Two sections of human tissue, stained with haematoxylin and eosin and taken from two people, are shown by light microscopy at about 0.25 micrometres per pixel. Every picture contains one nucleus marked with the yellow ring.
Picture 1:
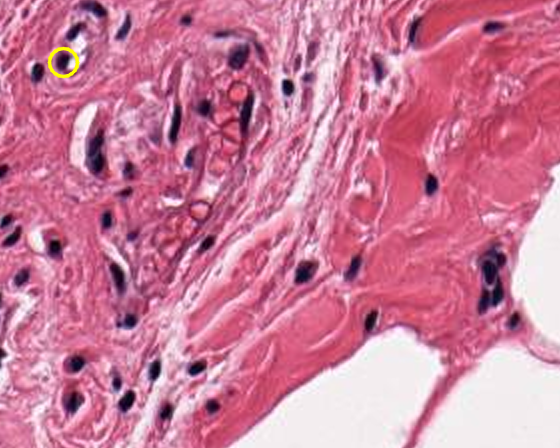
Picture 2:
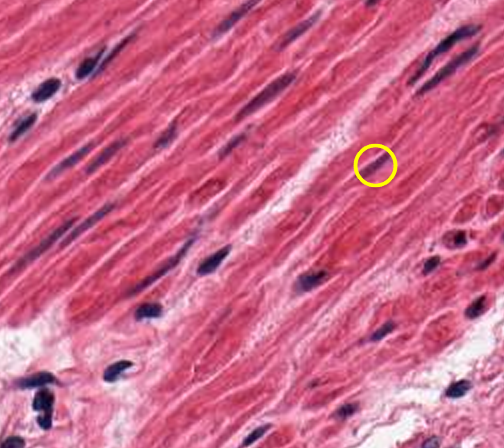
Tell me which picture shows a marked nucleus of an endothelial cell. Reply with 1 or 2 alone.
1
